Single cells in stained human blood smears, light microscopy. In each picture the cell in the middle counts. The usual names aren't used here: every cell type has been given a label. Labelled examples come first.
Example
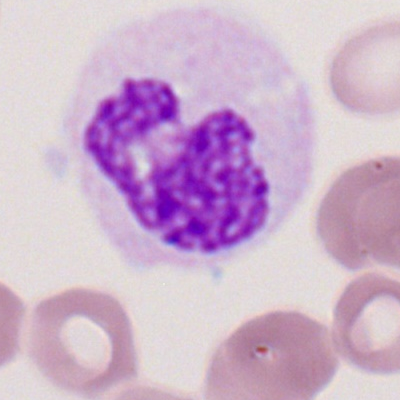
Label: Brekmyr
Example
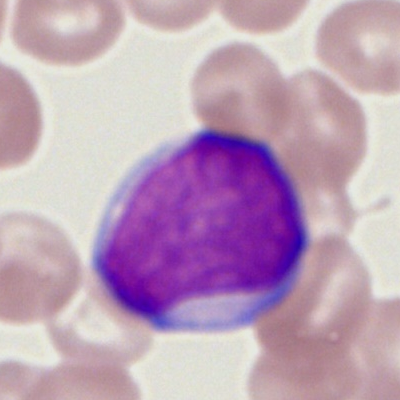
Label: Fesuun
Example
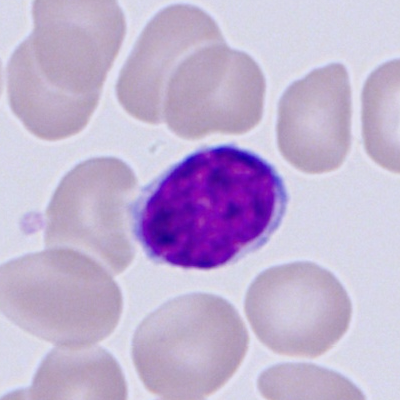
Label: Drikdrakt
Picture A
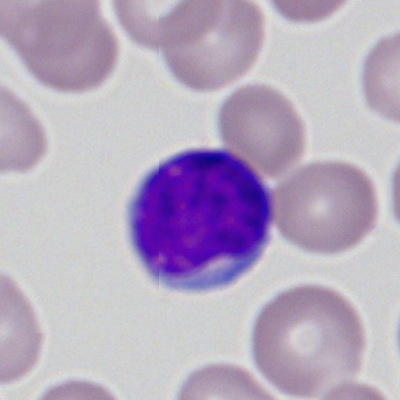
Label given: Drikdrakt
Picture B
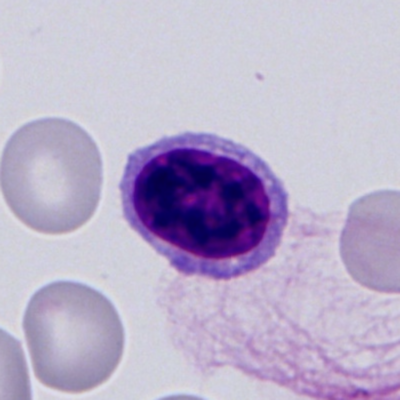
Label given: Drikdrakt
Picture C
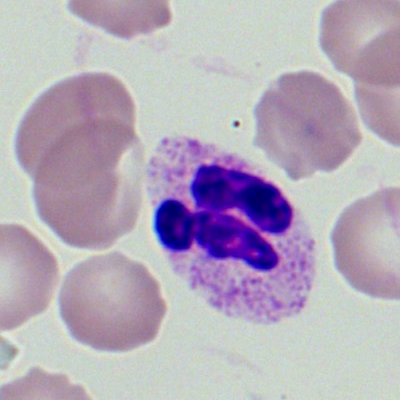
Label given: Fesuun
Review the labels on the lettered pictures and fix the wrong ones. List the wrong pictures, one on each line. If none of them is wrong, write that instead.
C is labelled Fesuun; correct label: Brekmyr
